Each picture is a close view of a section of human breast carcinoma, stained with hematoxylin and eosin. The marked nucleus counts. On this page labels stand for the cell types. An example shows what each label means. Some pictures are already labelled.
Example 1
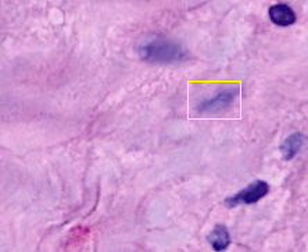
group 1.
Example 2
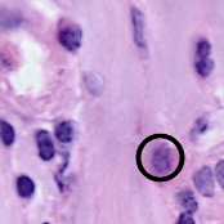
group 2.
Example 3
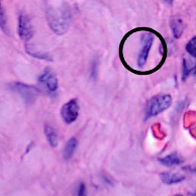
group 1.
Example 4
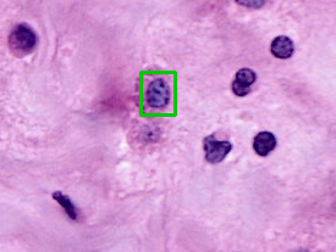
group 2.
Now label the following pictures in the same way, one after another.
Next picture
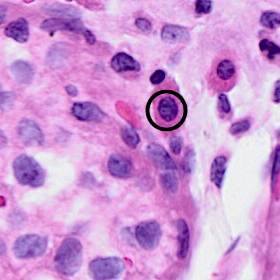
group 2.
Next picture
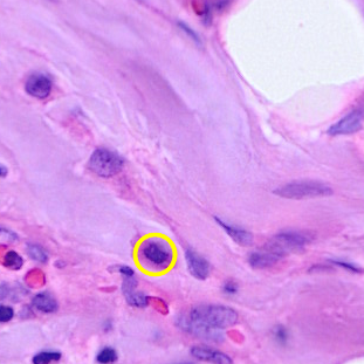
group 2.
